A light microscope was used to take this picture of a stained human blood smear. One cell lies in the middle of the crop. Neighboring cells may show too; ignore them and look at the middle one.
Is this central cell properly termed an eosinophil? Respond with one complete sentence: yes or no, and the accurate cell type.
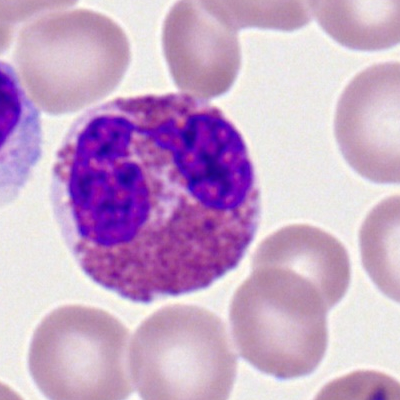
Yes, the cell at the center of the crop is an eosinophil.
